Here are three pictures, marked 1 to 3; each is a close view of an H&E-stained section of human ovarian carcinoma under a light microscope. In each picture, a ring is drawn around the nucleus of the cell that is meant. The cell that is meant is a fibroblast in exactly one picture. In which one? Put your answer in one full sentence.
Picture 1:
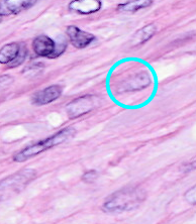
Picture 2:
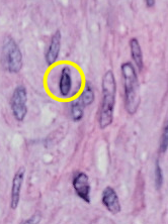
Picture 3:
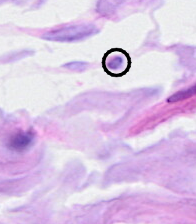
The picture with the fibroblast is 1.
